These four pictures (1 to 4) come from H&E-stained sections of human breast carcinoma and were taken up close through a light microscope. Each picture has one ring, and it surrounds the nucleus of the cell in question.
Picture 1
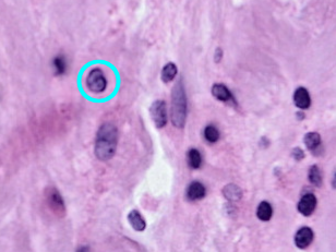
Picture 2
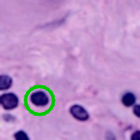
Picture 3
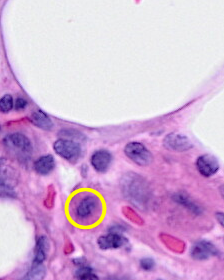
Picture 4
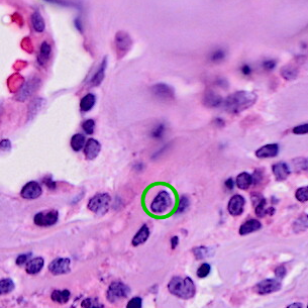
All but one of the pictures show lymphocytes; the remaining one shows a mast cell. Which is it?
3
